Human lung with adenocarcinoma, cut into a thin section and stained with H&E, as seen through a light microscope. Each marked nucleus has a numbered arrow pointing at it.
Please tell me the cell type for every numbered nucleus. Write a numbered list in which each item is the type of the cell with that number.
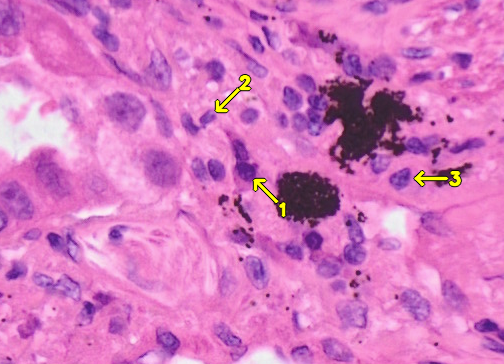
1. plasma cell
2. lymphocyte
3. mast cell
